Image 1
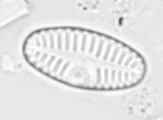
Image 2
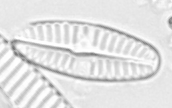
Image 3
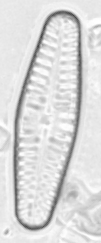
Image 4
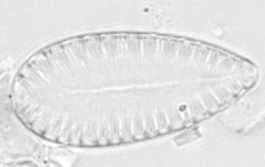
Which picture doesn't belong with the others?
Picture 4.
